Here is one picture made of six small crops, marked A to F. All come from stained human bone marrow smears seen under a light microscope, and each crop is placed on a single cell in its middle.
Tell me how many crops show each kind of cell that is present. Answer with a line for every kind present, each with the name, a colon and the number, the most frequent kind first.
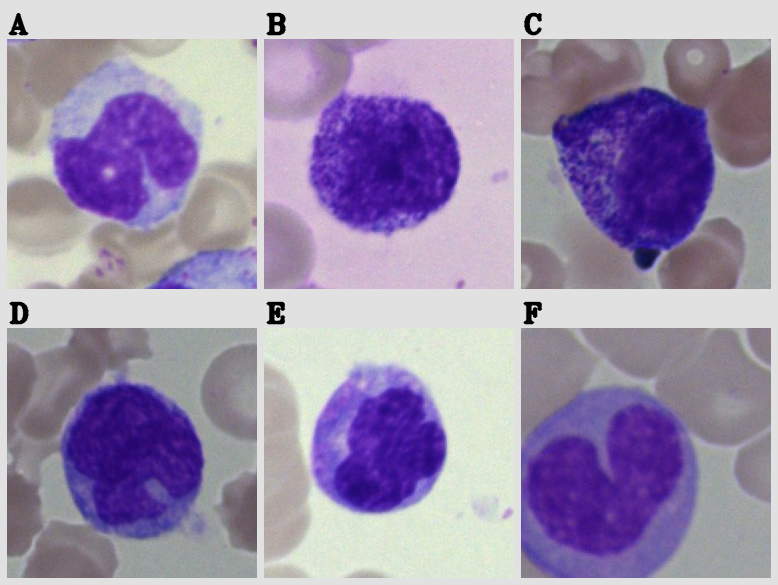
monocyte: 4
myelocyte: 2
